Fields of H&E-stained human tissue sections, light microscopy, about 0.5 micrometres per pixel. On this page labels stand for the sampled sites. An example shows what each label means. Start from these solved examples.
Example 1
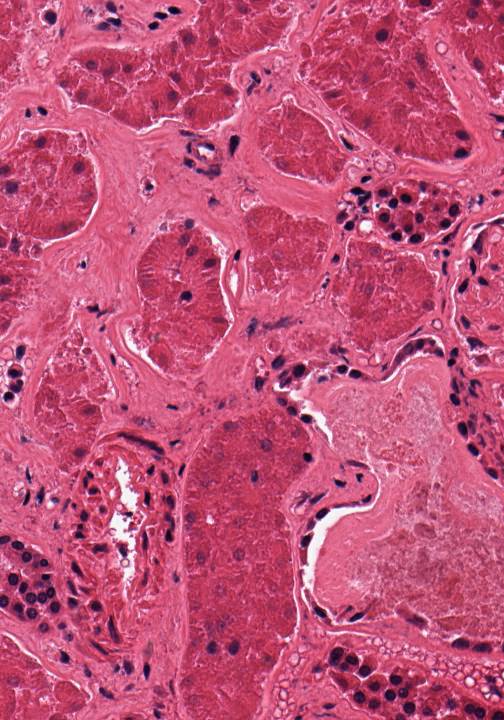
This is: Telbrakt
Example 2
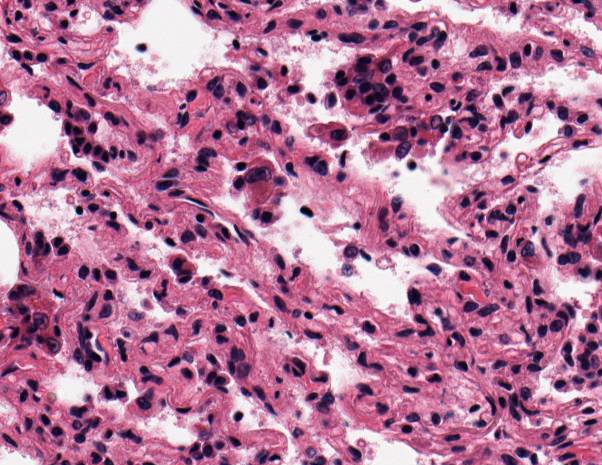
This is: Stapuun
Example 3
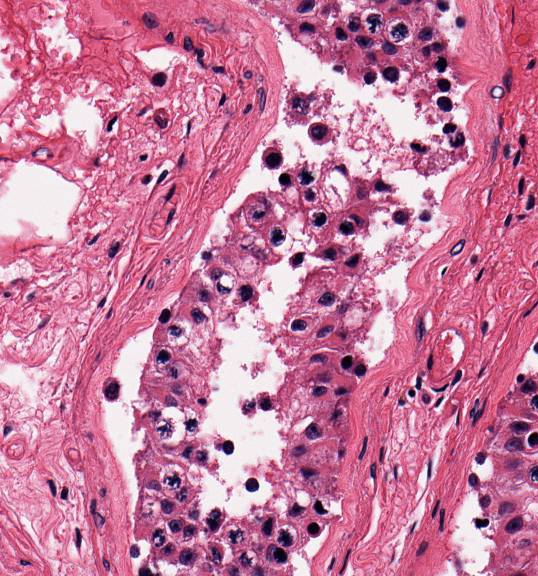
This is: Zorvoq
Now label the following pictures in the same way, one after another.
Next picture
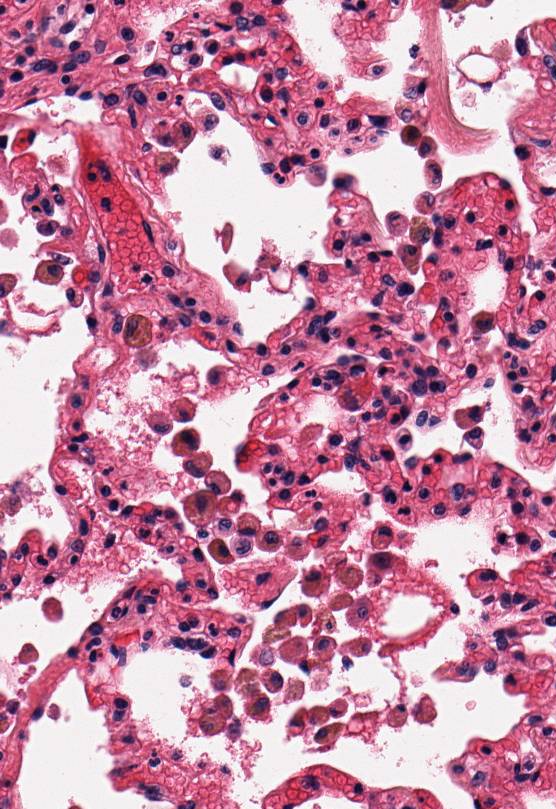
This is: Stapuun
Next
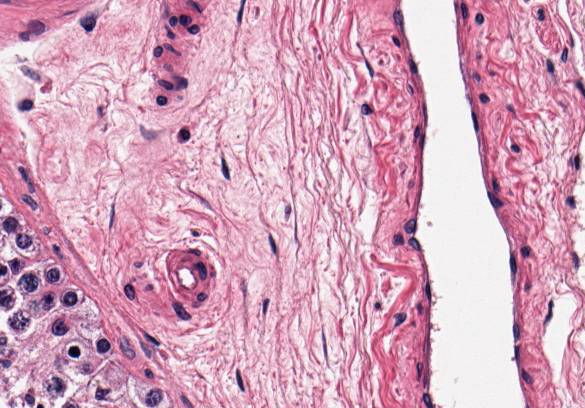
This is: Zorvoq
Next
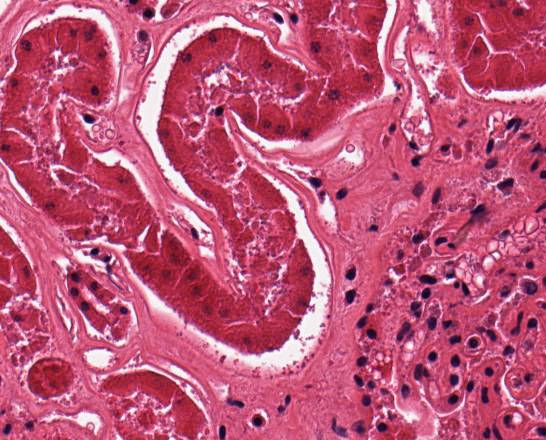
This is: Telbrakt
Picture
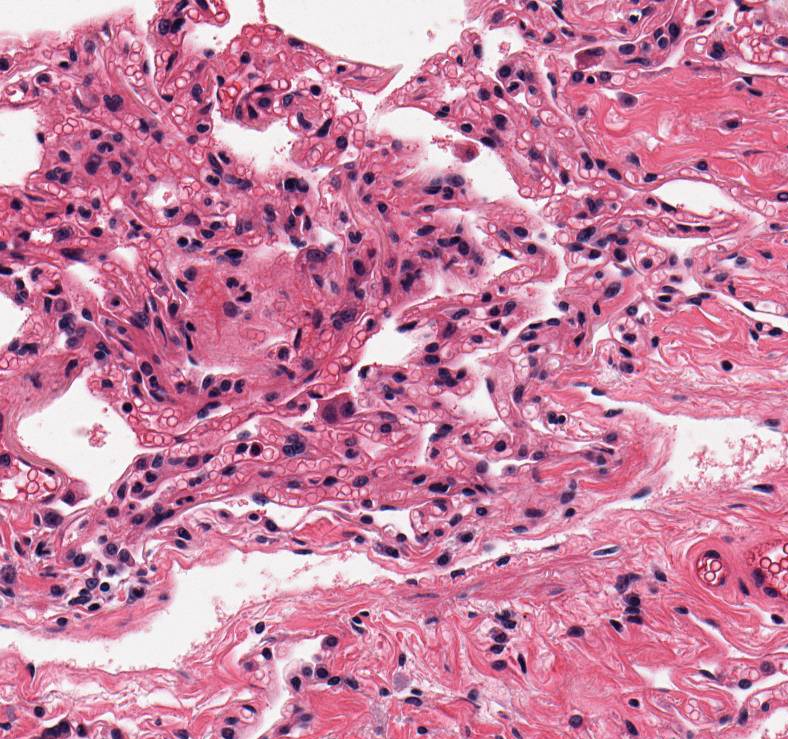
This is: Stapuun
